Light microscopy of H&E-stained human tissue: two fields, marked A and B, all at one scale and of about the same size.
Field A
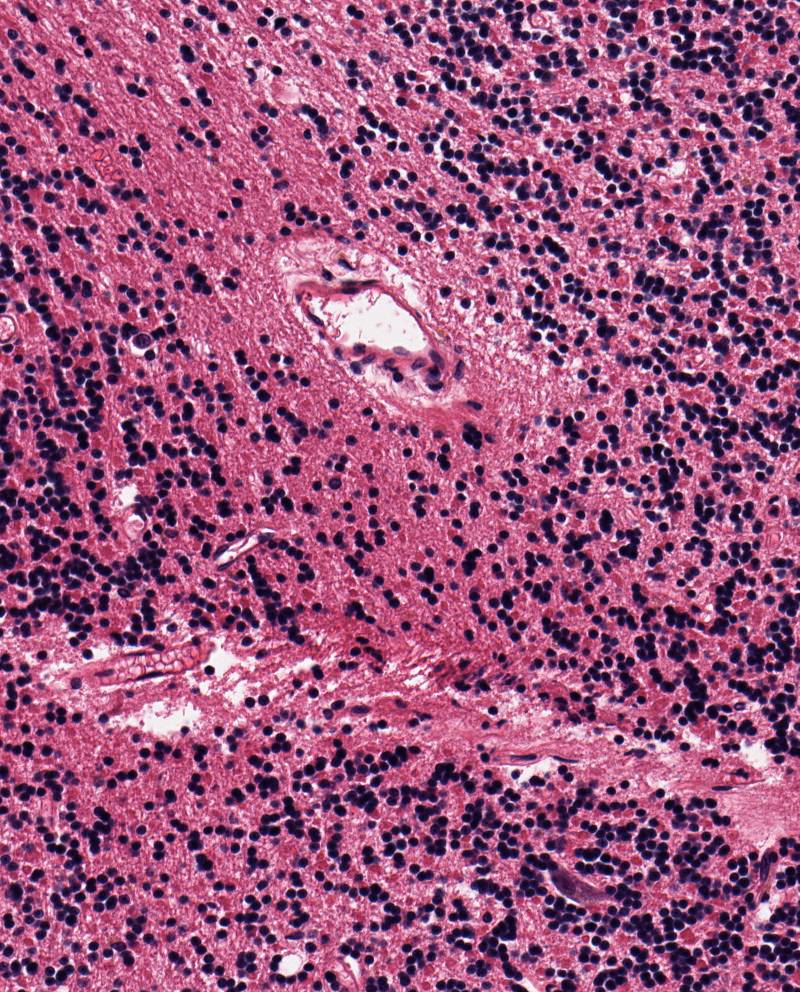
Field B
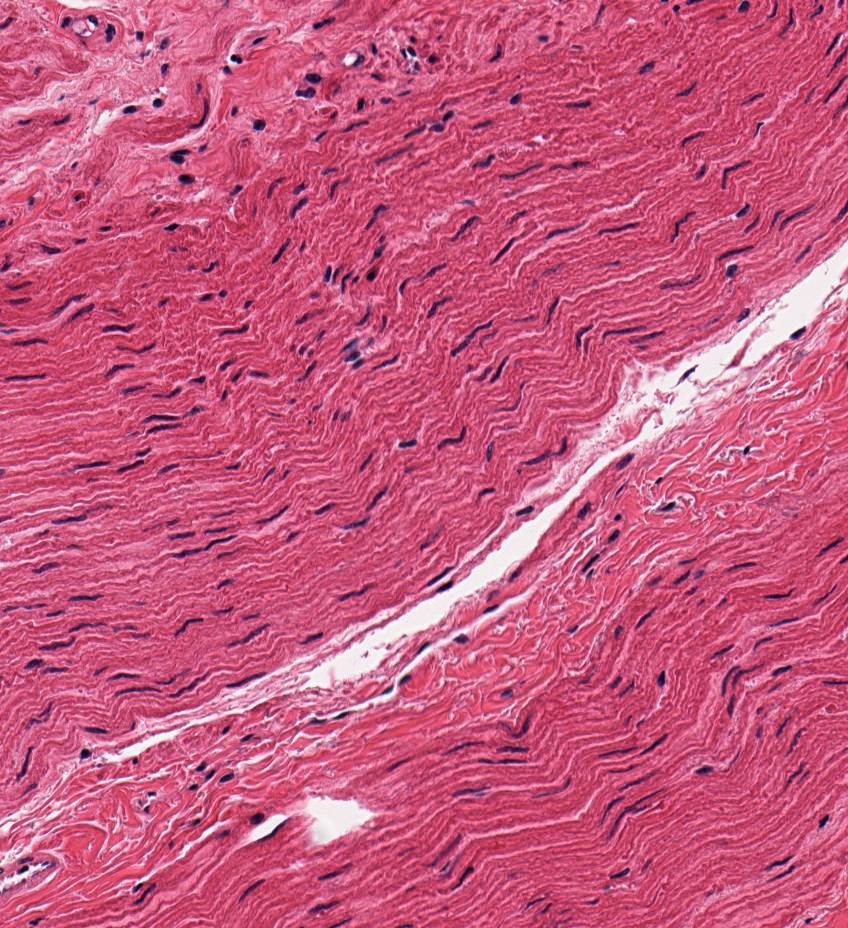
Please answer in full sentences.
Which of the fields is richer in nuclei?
It is field A that has more nuclei in it.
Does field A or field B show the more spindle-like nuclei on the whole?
Longer, more slender nuclei lie in field B.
